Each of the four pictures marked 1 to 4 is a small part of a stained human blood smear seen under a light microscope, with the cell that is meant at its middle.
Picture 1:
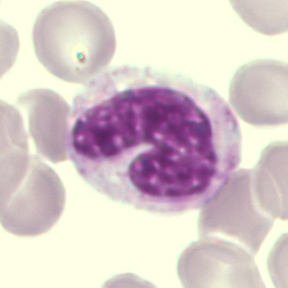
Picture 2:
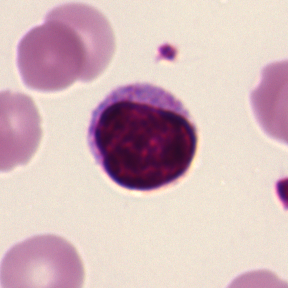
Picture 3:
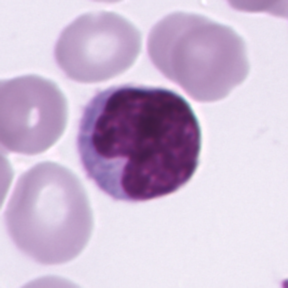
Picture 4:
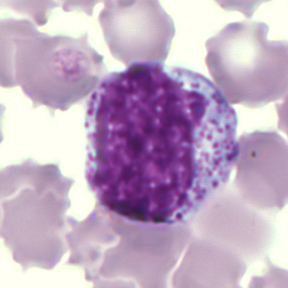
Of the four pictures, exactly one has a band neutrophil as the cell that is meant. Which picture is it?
1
